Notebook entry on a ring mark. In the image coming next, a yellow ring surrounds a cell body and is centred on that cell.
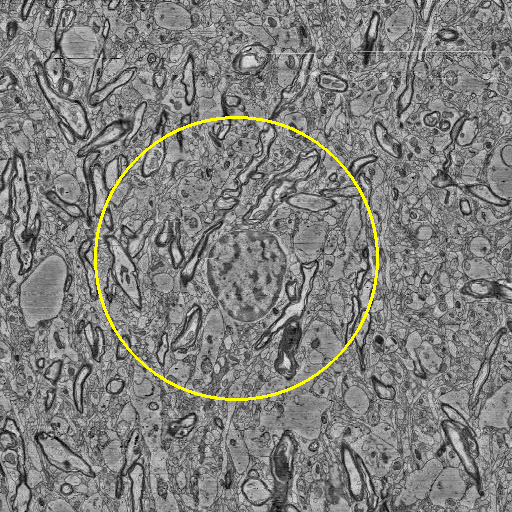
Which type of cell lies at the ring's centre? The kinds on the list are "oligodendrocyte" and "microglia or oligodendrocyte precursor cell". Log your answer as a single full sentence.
Centred in the yellow ring is a microglial cell or oligodendrocyte precursor cell, the cell recorded for this image.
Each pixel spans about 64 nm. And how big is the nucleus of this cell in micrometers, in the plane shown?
Approximately 6 by 5 micrometers in this plane.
